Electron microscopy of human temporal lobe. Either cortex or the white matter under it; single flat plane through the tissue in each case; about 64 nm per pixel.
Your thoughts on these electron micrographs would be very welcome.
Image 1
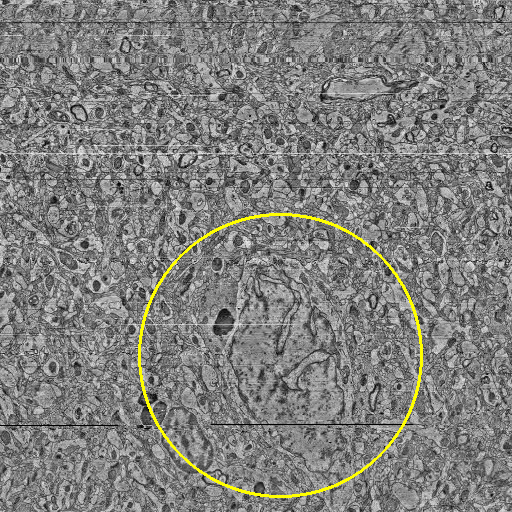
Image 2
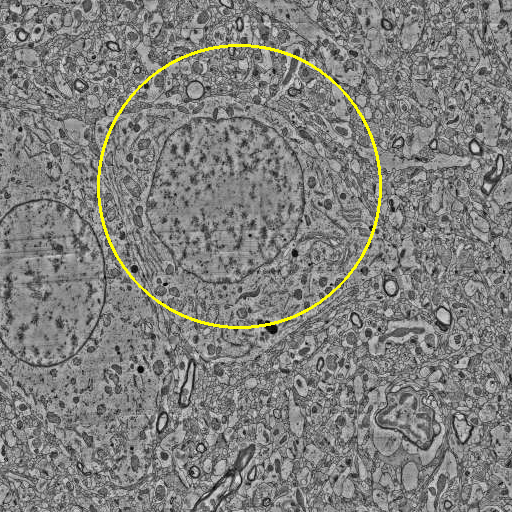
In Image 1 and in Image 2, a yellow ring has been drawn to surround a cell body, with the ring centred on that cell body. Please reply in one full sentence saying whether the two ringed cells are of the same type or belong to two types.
The ringed cells in Image 1 and Image 2 are of the same type.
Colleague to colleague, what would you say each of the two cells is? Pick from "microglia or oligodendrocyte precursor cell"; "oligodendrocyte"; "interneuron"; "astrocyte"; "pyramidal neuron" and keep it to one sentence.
Each of the two rings surrounds an interneuron.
